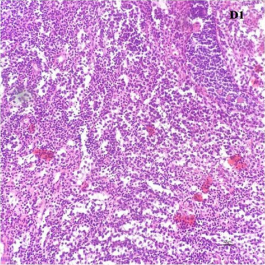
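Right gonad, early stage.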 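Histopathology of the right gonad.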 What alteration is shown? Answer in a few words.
Seminoma.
